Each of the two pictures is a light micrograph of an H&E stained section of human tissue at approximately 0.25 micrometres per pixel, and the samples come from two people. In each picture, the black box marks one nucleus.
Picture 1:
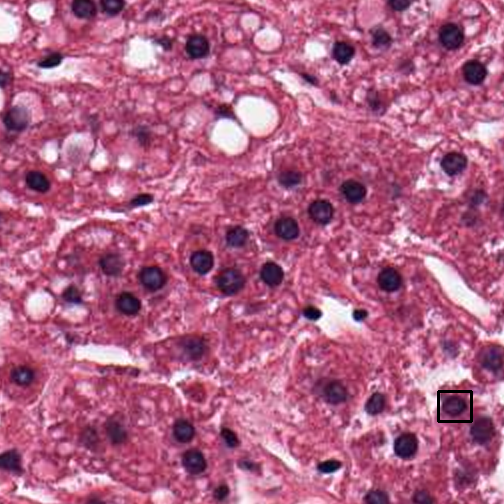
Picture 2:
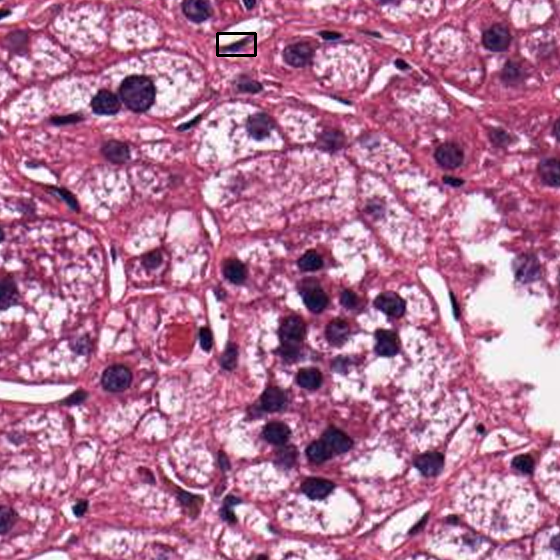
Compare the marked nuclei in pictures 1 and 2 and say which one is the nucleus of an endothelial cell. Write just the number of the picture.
2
